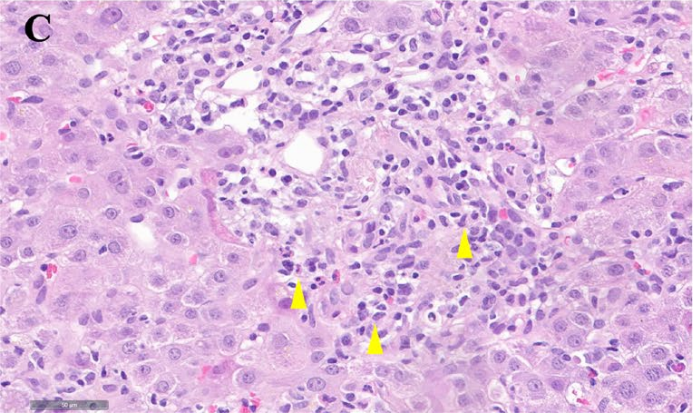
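This is liver with hepatitis, where a dense cluster of inflammatory cells sits in the centre between plates of large polygonal hepatocytes with pale pink cytoplasm and round nuclei with nucleoli. Among the small dark inflammatory cells are cells with pink granular cytoplasm. The inflammation reaches into the liver cell plates at its edges, and some hepatocytes nearby look disrupted.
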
